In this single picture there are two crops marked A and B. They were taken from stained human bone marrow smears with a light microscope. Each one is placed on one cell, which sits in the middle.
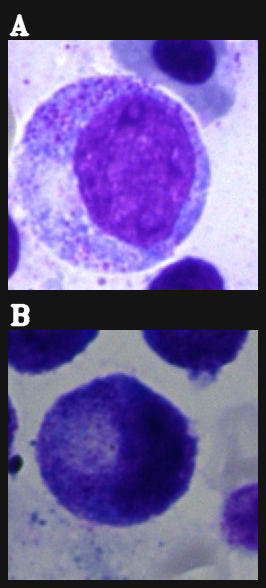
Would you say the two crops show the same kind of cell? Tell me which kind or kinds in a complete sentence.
Yes, the cells at the centre of both crops are promyelocytes.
